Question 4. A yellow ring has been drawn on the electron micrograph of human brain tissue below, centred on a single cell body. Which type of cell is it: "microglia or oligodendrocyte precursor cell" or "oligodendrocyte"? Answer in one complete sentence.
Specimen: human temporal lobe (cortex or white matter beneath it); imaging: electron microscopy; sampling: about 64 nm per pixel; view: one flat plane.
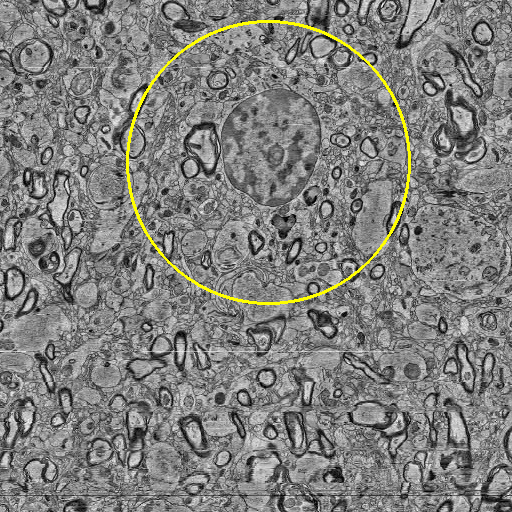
This cell body belongs to a microglial cell or oligodendrocyte precursor cell.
